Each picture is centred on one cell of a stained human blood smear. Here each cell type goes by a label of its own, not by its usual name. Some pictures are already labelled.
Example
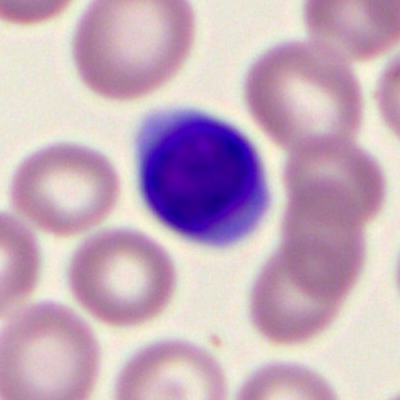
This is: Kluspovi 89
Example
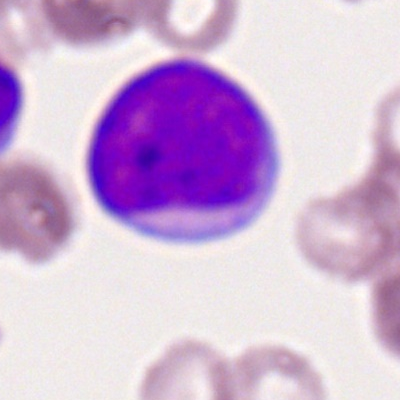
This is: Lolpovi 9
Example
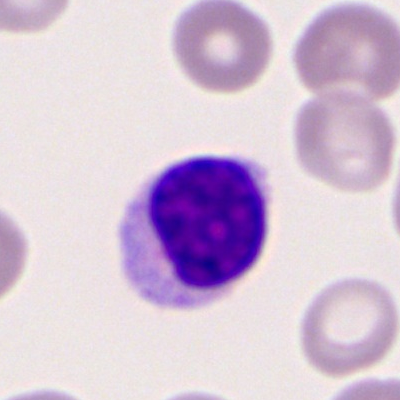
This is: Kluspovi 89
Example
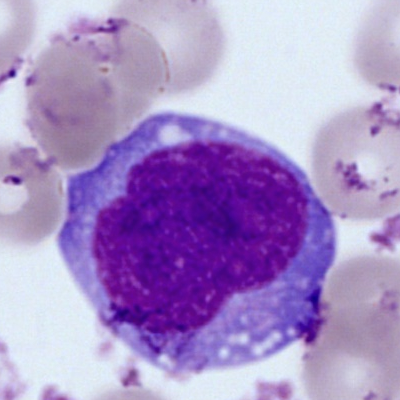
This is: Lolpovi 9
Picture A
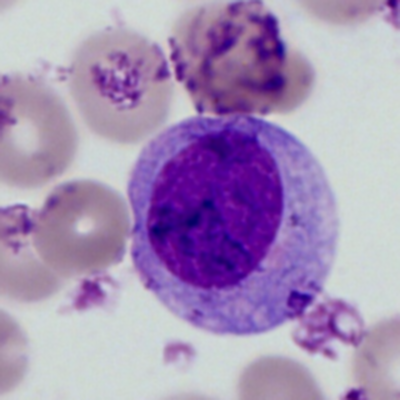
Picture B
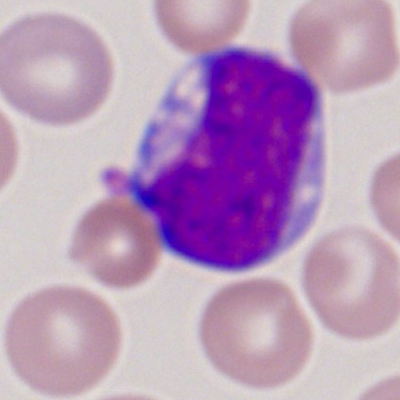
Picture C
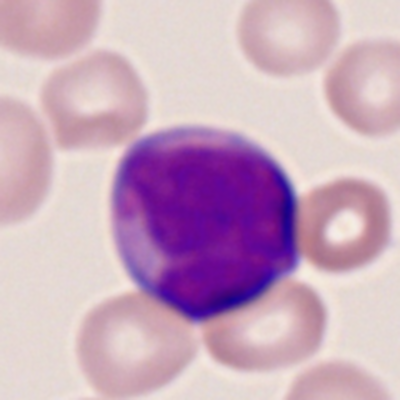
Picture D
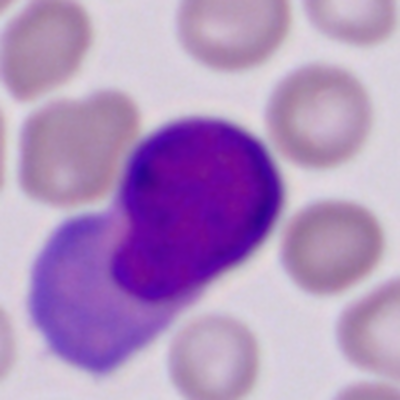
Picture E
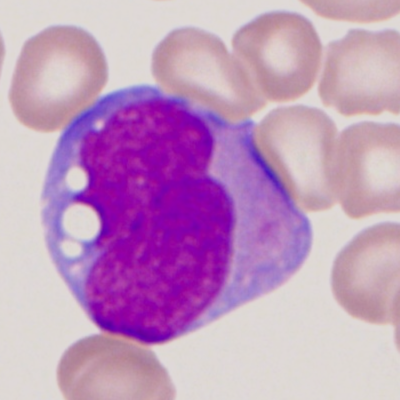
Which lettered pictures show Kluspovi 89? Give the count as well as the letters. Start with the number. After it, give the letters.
0, none of them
